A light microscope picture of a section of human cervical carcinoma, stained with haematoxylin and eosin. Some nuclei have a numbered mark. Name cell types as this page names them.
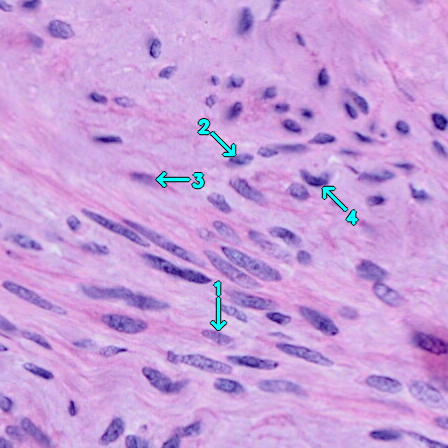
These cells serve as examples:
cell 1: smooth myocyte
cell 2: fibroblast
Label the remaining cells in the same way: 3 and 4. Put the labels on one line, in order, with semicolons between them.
smooth myocyte; fibroblast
